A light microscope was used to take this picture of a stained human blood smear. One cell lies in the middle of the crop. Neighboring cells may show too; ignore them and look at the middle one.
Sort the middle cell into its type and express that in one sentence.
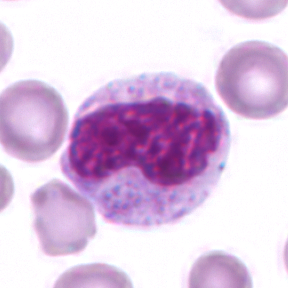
Whatever else lies nearby, the middle cell is a metamyelocyte.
